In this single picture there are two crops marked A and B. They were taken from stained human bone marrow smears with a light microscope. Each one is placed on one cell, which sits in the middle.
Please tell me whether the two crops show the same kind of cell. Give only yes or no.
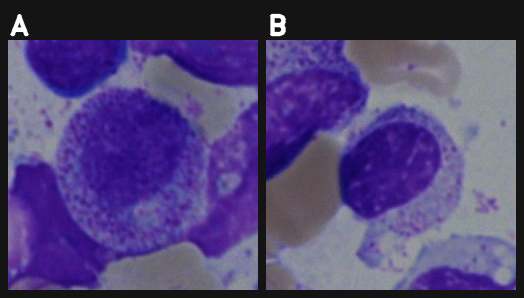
yes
